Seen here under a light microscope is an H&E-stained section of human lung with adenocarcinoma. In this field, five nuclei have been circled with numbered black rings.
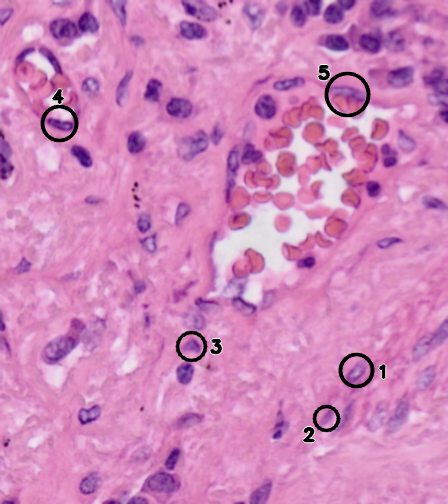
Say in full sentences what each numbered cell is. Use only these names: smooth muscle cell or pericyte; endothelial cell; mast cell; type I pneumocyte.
Cell 1 is a smooth muscle cell or pericyte, cell 2 is a smooth muscle cell or pericyte, cell 3 is a mast cell, cell 4 is an endothelial cell and cell 5 is an endothelial cell.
